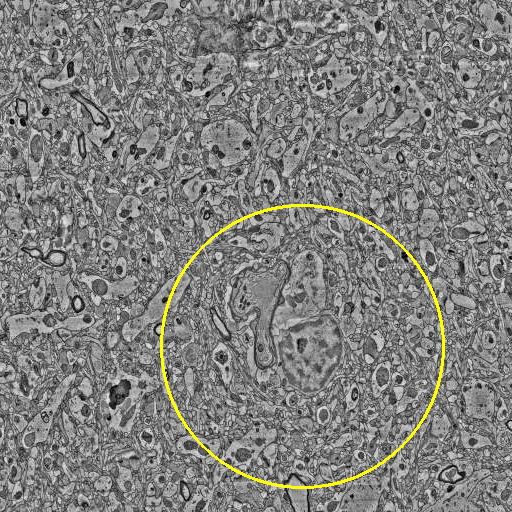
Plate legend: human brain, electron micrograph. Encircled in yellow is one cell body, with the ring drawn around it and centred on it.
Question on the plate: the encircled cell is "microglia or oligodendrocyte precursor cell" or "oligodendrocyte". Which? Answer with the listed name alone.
oligodendrocyte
